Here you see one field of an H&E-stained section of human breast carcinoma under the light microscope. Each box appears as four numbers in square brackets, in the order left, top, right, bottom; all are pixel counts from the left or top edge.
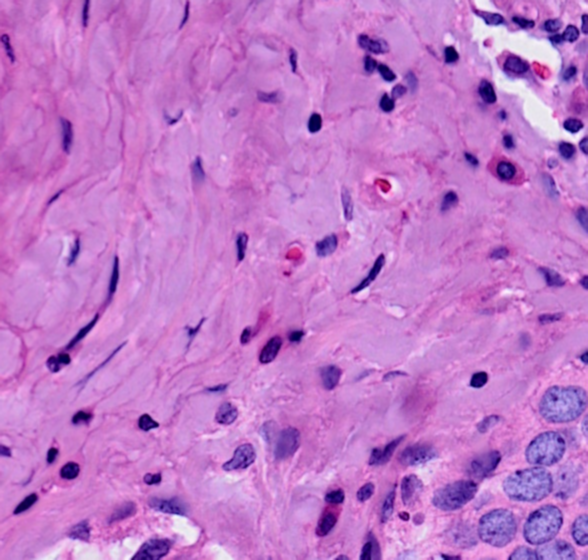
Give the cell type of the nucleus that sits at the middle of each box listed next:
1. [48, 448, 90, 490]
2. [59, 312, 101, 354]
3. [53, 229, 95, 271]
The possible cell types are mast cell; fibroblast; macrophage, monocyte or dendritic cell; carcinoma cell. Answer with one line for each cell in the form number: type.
1: mast cell
2: fibroblast
3: fibroblast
